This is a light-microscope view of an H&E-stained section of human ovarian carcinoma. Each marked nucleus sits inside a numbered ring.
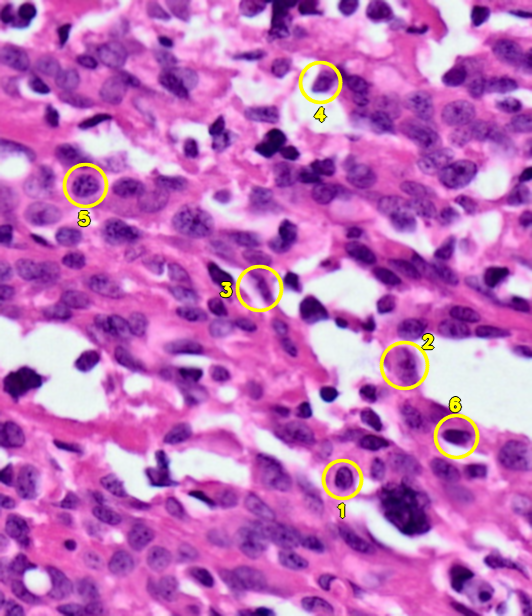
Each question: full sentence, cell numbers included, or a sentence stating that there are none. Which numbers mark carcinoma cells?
Within this tissue, the cells numbered 2, 3, 4 and 6 are carcinoma cells.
